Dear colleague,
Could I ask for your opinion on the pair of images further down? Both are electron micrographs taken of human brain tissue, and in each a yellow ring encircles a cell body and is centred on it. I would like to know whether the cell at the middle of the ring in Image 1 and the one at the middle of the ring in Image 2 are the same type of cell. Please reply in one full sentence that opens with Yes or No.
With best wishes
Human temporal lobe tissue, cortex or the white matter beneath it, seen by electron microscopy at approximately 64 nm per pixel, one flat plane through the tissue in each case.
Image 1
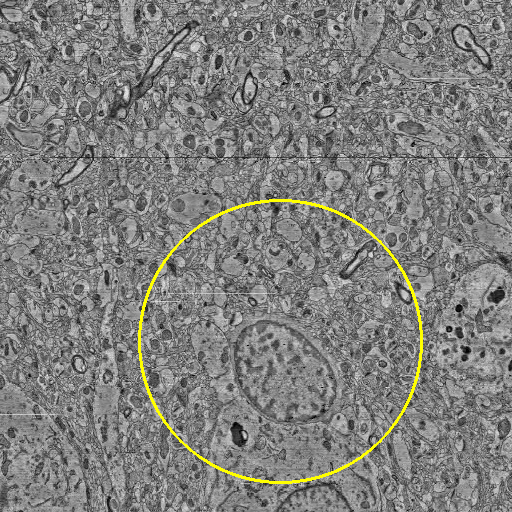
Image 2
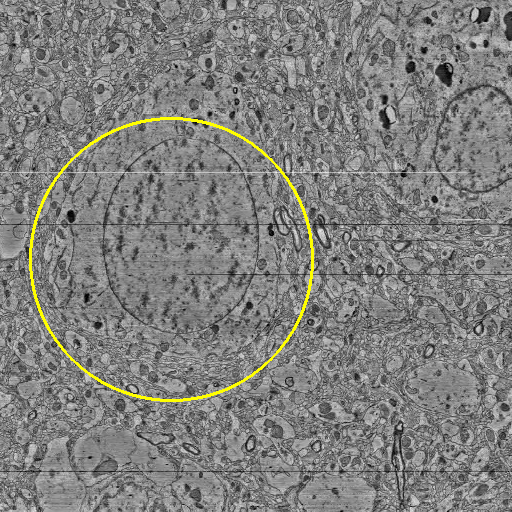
No, the cells at the ring centres in Image 1 and Image 2 are of two types.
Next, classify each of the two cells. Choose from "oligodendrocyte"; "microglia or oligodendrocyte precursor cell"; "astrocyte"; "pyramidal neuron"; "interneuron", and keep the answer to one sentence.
In the first picture it is an oligodendrocyte; in the second it is a pyramidal neuron.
